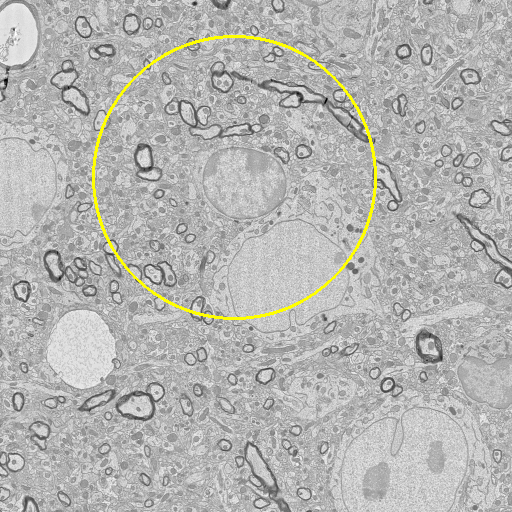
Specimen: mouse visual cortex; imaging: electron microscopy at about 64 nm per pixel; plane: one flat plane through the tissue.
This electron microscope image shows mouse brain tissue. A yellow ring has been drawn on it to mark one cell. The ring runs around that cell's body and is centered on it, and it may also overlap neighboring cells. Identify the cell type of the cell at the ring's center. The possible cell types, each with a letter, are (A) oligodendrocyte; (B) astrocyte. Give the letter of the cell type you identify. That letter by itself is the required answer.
A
